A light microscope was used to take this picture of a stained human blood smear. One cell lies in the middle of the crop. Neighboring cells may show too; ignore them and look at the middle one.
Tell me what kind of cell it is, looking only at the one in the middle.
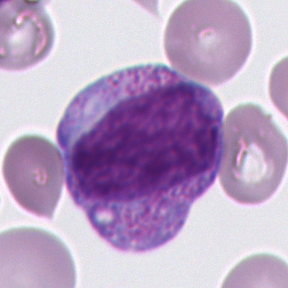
atypical promyelocyte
